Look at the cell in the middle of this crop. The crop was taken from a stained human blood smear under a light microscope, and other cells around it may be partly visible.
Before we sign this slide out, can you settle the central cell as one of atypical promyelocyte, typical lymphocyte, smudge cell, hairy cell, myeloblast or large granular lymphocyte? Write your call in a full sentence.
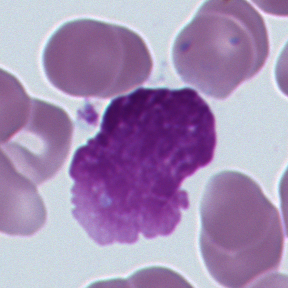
In the crop, the cell of interest at the centre is a smudge cell.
